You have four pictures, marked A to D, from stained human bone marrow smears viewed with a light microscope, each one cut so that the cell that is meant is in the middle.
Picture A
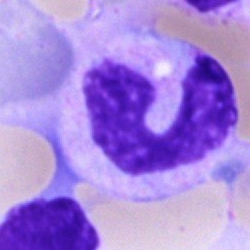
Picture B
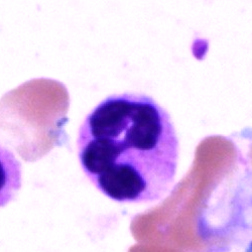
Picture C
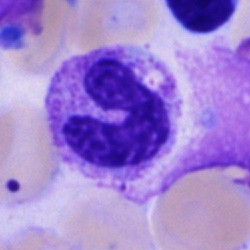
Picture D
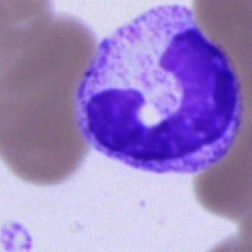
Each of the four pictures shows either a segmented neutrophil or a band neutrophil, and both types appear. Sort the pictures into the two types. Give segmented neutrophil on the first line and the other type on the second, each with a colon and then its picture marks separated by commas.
segmented neutrophil: B
band neutrophil: A, C, D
